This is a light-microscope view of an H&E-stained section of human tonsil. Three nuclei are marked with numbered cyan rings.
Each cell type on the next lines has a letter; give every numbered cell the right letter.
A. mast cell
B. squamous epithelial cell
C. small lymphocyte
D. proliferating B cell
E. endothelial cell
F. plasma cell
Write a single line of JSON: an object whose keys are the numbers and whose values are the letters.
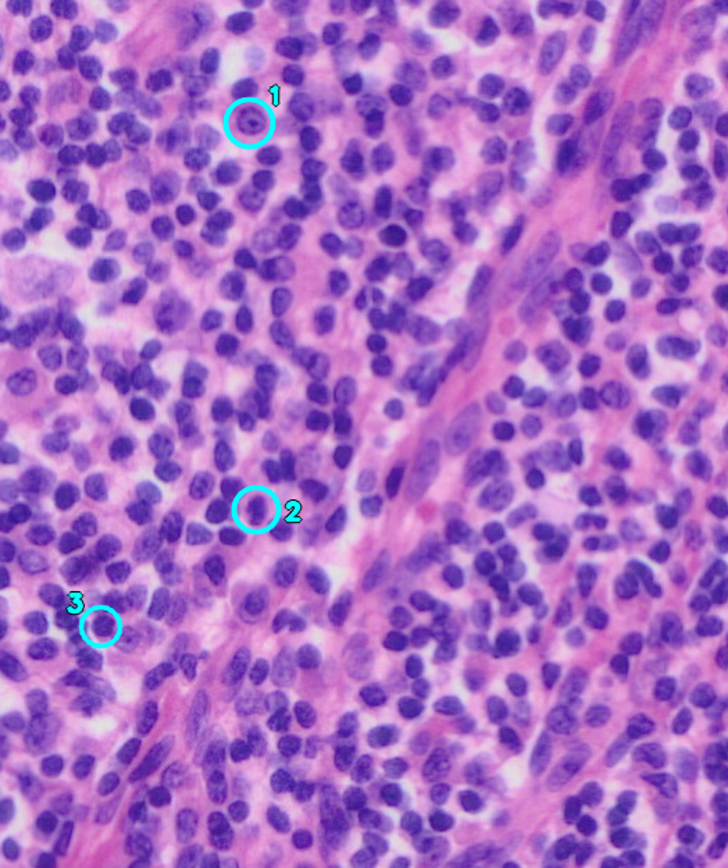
{"1": "F", "2": "C", "3": "C"}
